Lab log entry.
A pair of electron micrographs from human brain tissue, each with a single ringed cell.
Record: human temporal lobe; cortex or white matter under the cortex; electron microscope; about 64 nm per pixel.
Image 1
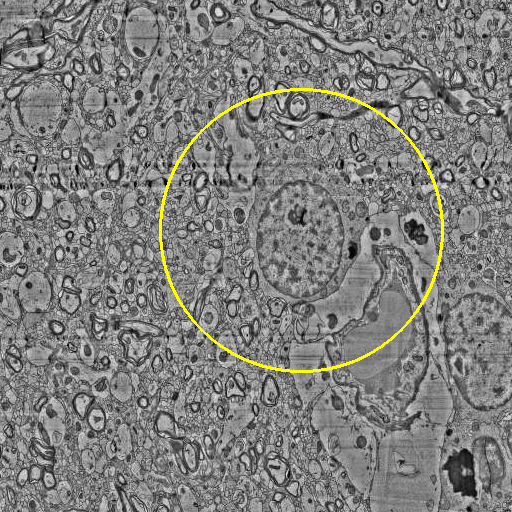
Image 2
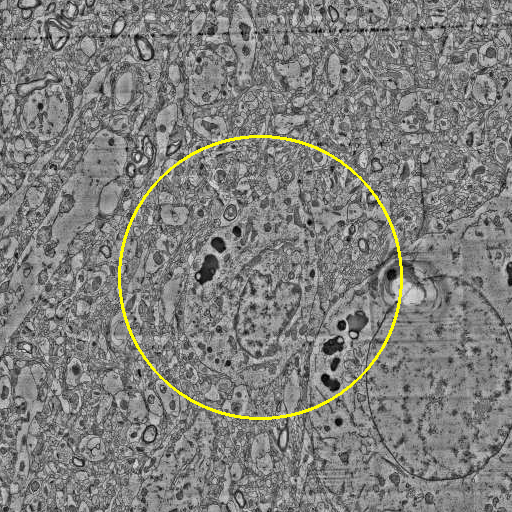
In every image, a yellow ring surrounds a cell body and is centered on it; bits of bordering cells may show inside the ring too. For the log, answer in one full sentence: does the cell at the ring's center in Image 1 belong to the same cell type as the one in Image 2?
No, the cells at the ring centers in Image 1 and Image 2 are of separate types.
